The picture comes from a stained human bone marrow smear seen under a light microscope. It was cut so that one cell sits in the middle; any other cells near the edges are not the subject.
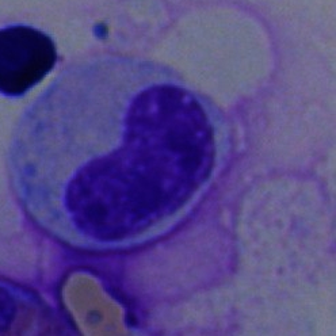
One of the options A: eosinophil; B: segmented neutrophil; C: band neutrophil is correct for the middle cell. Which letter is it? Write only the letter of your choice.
C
